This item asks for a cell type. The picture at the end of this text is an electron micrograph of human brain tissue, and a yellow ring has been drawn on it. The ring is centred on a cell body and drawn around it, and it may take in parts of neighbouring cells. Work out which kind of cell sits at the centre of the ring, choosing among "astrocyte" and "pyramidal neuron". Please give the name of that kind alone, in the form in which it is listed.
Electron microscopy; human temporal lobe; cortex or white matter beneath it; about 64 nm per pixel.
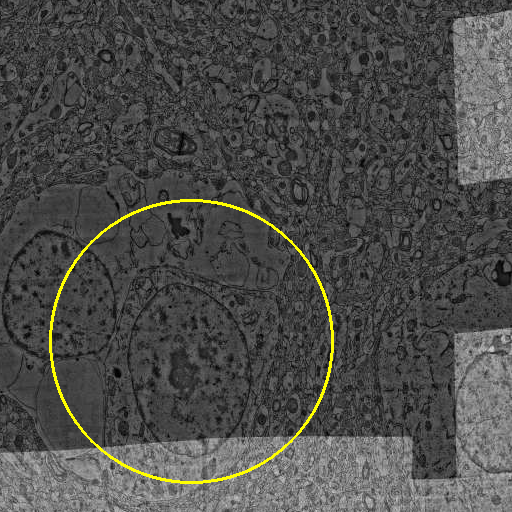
pyramidal neuron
